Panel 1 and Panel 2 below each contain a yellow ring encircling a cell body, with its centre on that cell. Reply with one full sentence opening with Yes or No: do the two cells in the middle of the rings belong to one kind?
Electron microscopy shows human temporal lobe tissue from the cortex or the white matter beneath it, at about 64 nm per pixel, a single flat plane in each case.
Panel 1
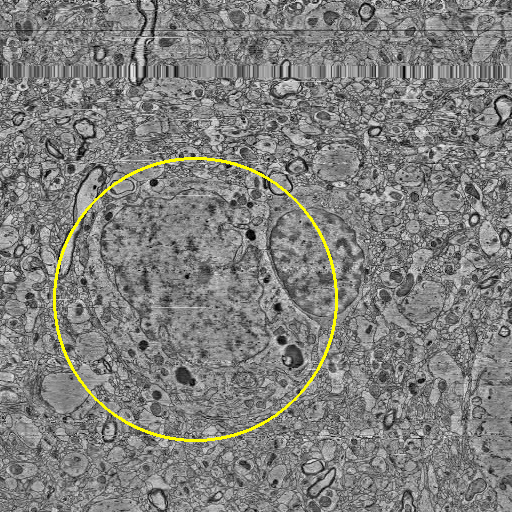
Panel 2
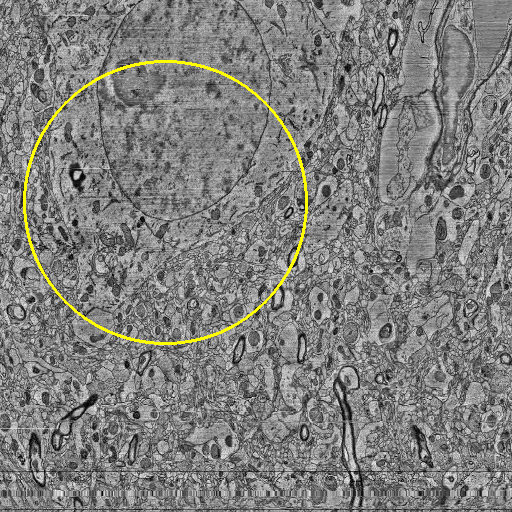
No, the cells at the middle of the Panel 1 ring and the Panel 2 ring are of two kinds.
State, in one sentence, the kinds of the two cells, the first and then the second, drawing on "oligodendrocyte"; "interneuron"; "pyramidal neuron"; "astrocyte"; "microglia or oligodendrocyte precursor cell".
The ring in the second picture is centred on a pyramidal neuron, the ring in the first on an interneuron.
